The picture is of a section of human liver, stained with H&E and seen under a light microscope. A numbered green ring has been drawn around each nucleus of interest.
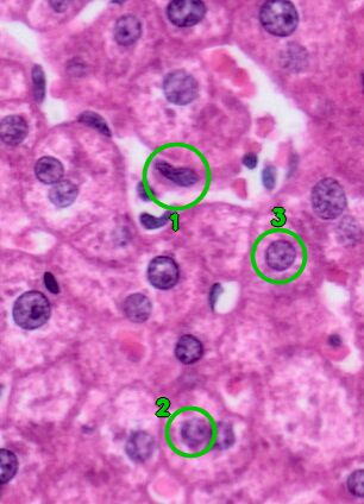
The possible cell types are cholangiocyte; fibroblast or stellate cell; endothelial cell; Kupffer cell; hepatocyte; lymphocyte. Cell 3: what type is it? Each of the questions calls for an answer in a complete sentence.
It is as a hepatocyte that the cell numbered 3 is identified.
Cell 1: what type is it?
At number 1, the marked cell is a Kupffer cell.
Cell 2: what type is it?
Heads up, the cell numbered 2 is a hepatocyte.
